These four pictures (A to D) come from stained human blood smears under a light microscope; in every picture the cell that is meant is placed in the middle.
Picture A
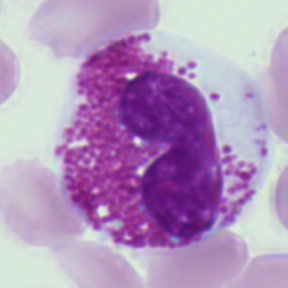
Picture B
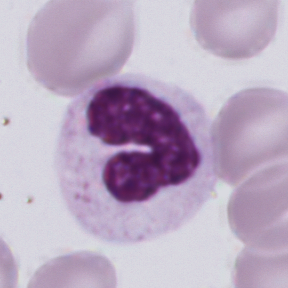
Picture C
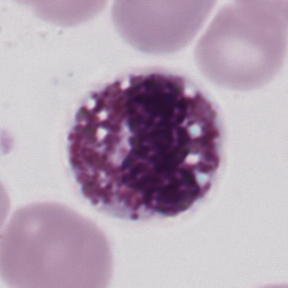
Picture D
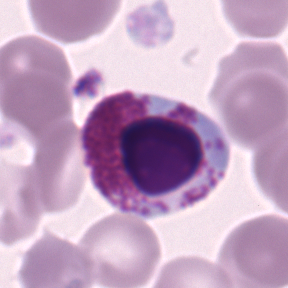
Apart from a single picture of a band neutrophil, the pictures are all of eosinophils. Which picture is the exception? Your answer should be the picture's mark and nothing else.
B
